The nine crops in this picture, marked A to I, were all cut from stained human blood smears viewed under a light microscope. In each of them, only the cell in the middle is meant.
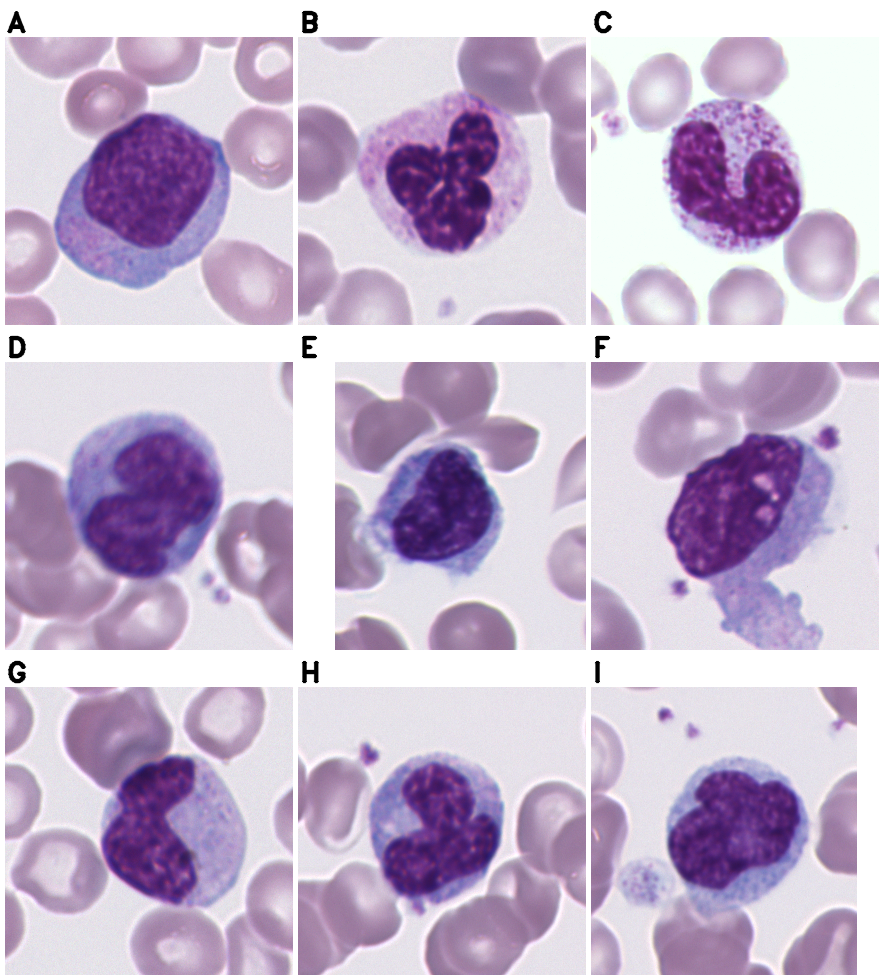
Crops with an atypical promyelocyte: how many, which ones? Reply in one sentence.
Among these crops, an atypical promyelocyte is the central cell of only one, crop A.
